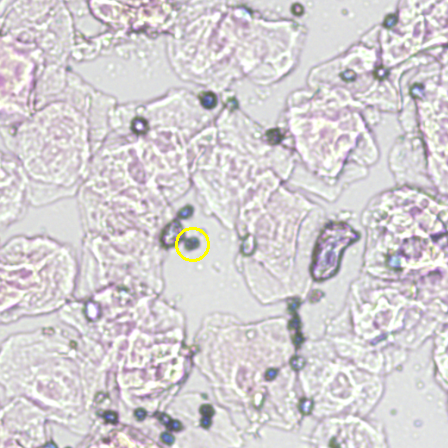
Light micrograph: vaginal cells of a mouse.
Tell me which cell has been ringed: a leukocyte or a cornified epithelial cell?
It is a leukocyte.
